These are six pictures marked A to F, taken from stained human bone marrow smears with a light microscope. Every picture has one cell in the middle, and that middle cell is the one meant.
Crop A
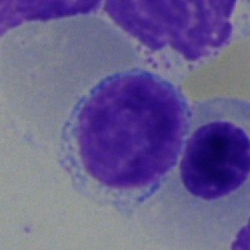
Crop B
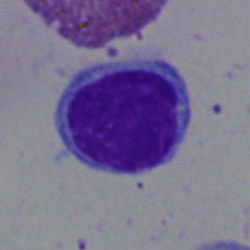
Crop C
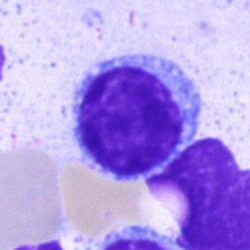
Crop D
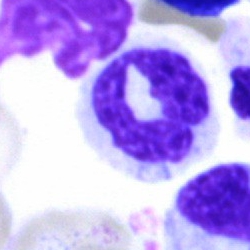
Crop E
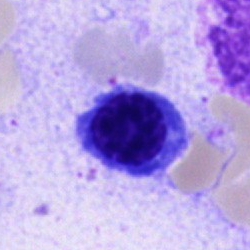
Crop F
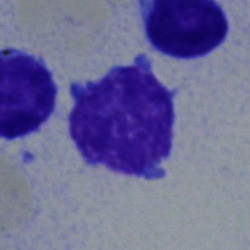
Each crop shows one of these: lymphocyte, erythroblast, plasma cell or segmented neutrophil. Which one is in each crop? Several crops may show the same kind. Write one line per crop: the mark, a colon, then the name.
A: lymphocyte
B: lymphocyte
C: lymphocyte
D: segmented neutrophil
E: erythroblast
F: lymphocyte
